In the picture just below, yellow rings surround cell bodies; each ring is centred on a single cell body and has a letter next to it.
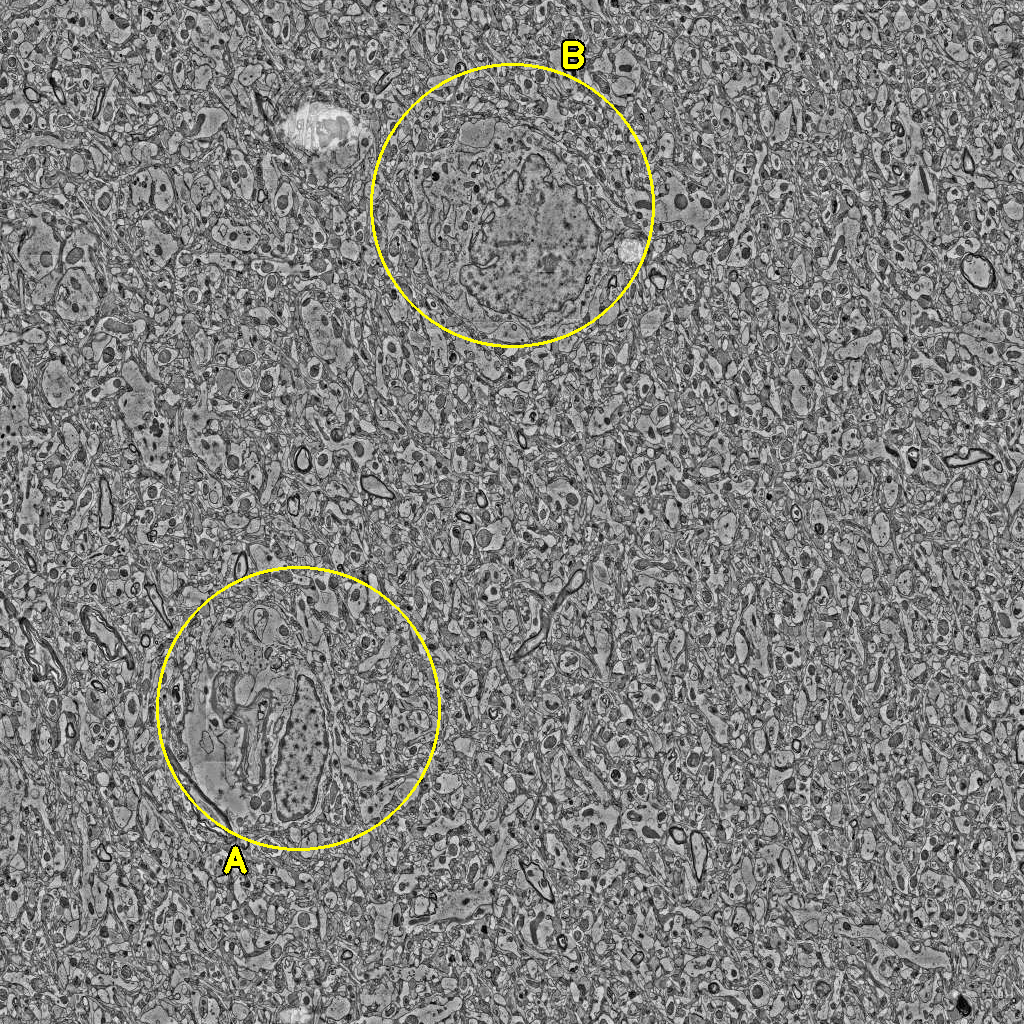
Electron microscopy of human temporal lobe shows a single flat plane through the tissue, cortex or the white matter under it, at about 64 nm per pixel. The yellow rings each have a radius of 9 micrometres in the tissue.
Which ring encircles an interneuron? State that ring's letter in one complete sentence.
The letter B marks the ring centred on the cell asked for in the picture.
